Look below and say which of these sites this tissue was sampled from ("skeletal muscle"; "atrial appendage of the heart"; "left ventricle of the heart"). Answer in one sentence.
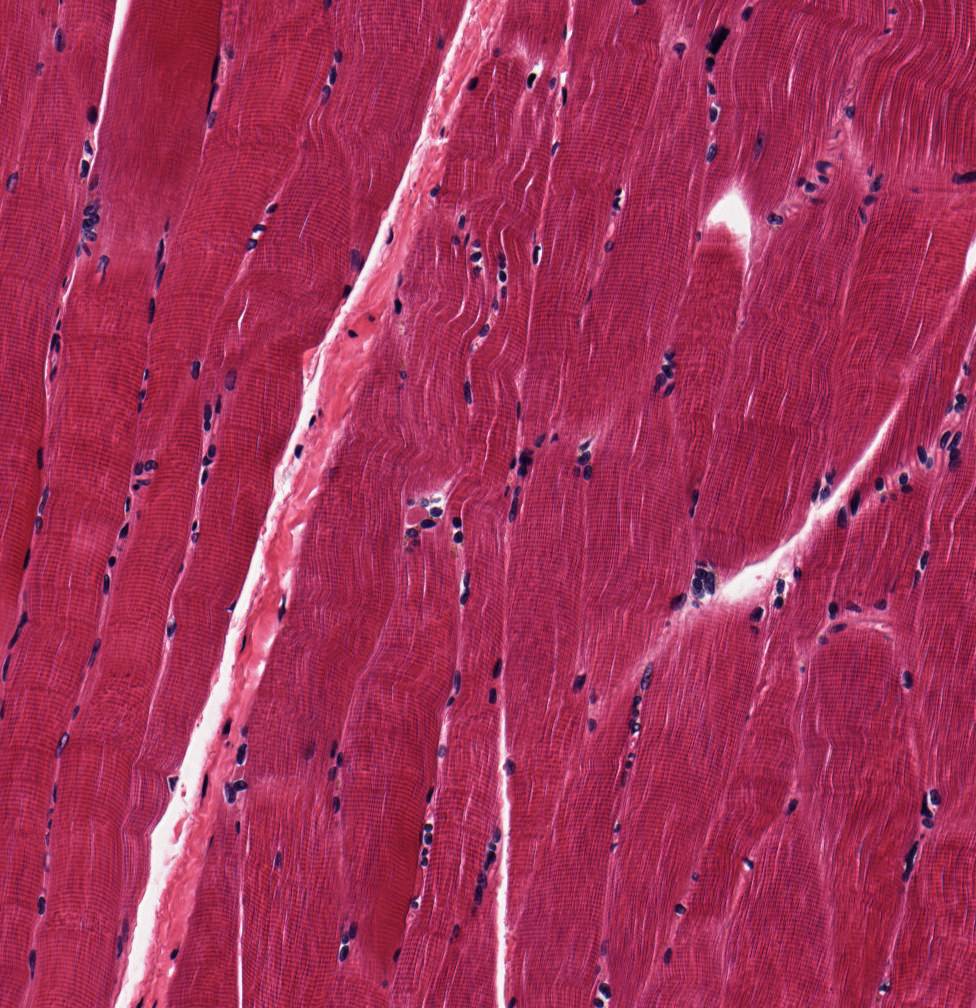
The site this tissue was sampled from is the skeletal muscle.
